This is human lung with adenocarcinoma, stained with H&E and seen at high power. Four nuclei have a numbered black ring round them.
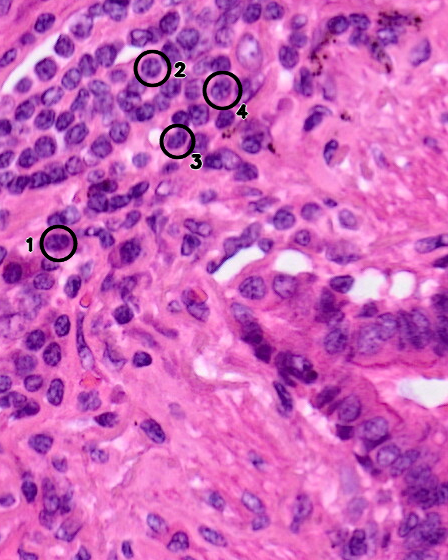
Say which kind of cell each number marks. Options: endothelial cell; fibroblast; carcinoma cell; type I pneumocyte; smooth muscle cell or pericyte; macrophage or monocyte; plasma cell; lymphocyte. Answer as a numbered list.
1. plasma cell
2. lymphocyte
3. lymphocyte
4. lymphocyte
